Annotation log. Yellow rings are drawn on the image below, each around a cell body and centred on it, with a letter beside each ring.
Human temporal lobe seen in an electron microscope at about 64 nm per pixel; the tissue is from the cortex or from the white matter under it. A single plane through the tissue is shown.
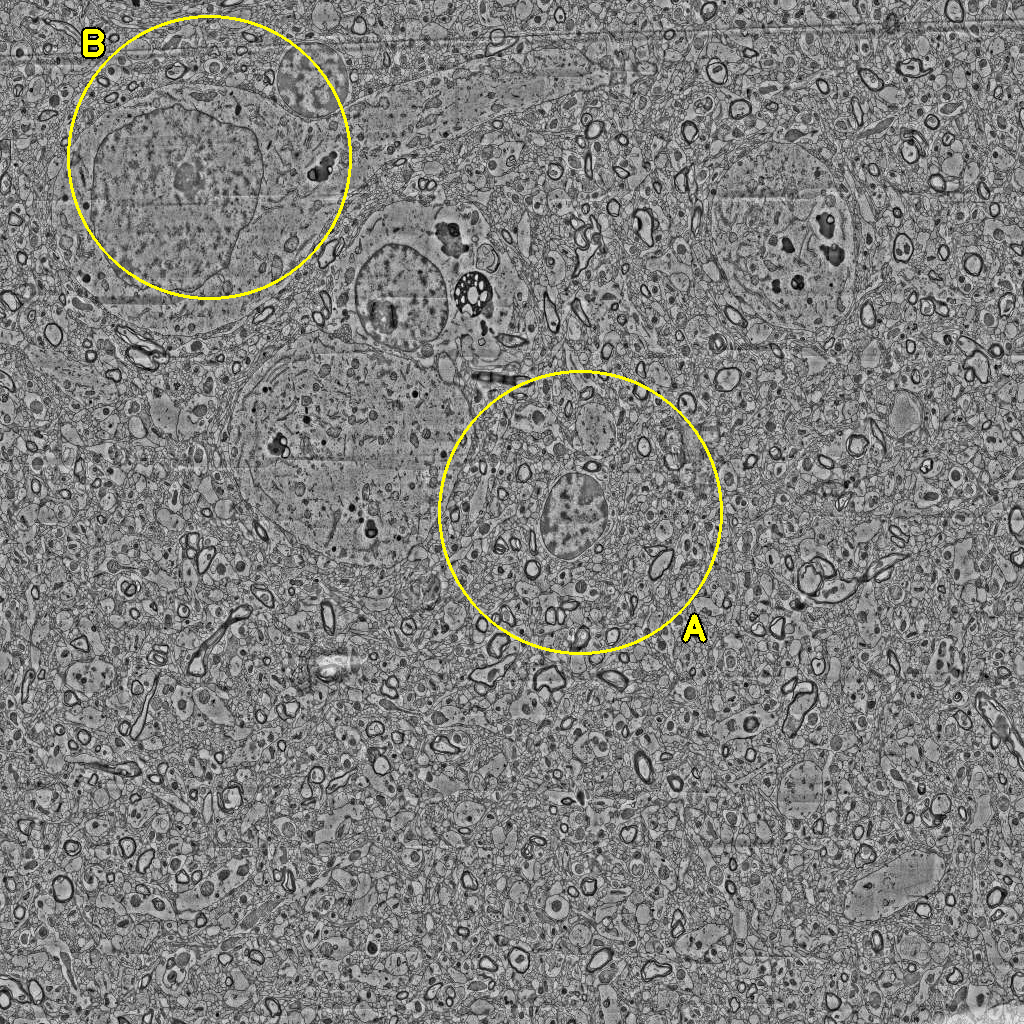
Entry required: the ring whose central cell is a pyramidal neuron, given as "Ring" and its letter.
Ring B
